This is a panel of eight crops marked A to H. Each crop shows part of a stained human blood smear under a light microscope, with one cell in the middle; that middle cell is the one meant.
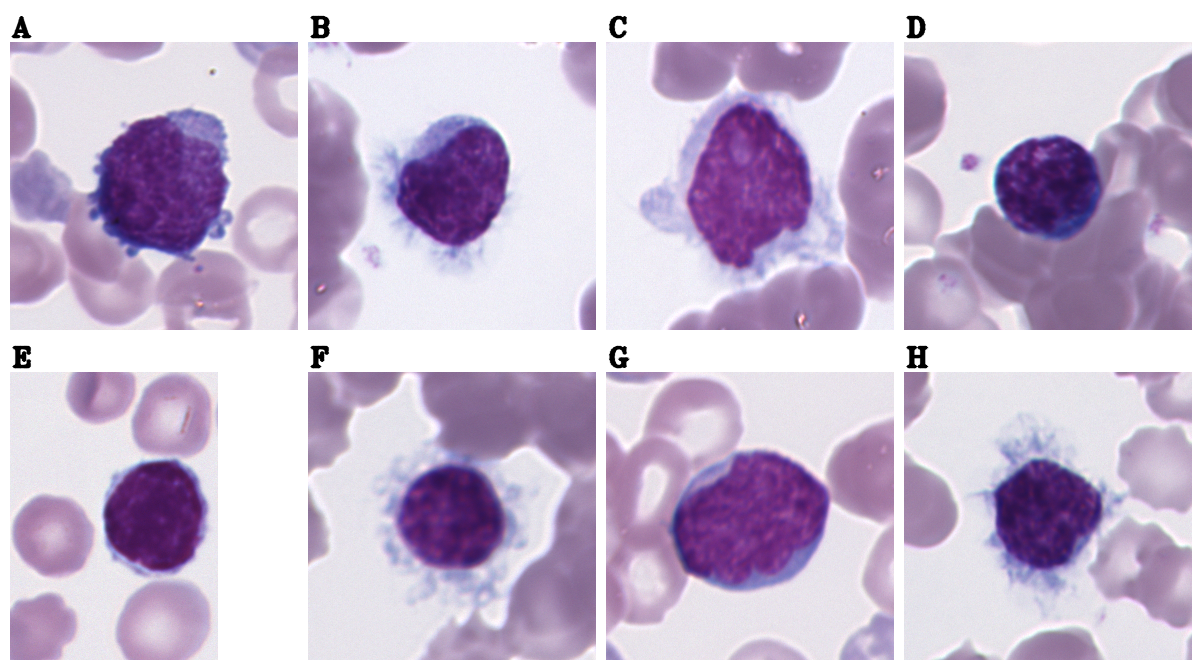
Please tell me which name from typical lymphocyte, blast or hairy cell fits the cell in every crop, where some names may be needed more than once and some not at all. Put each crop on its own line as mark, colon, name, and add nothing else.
A: blast
B: hairy cell
C: hairy cell
D: typical lymphocyte
E: typical lymphocyte
F: hairy cell
G: blast
H: hairy cell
